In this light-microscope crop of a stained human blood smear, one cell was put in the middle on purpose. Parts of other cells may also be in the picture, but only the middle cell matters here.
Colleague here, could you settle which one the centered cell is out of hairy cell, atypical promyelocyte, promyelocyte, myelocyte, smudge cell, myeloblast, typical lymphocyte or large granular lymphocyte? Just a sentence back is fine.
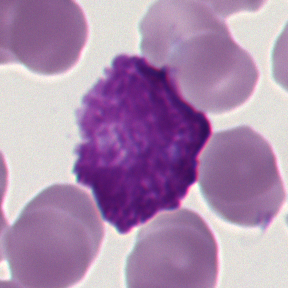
For this crop, the cell in the middle is a smudge cell.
